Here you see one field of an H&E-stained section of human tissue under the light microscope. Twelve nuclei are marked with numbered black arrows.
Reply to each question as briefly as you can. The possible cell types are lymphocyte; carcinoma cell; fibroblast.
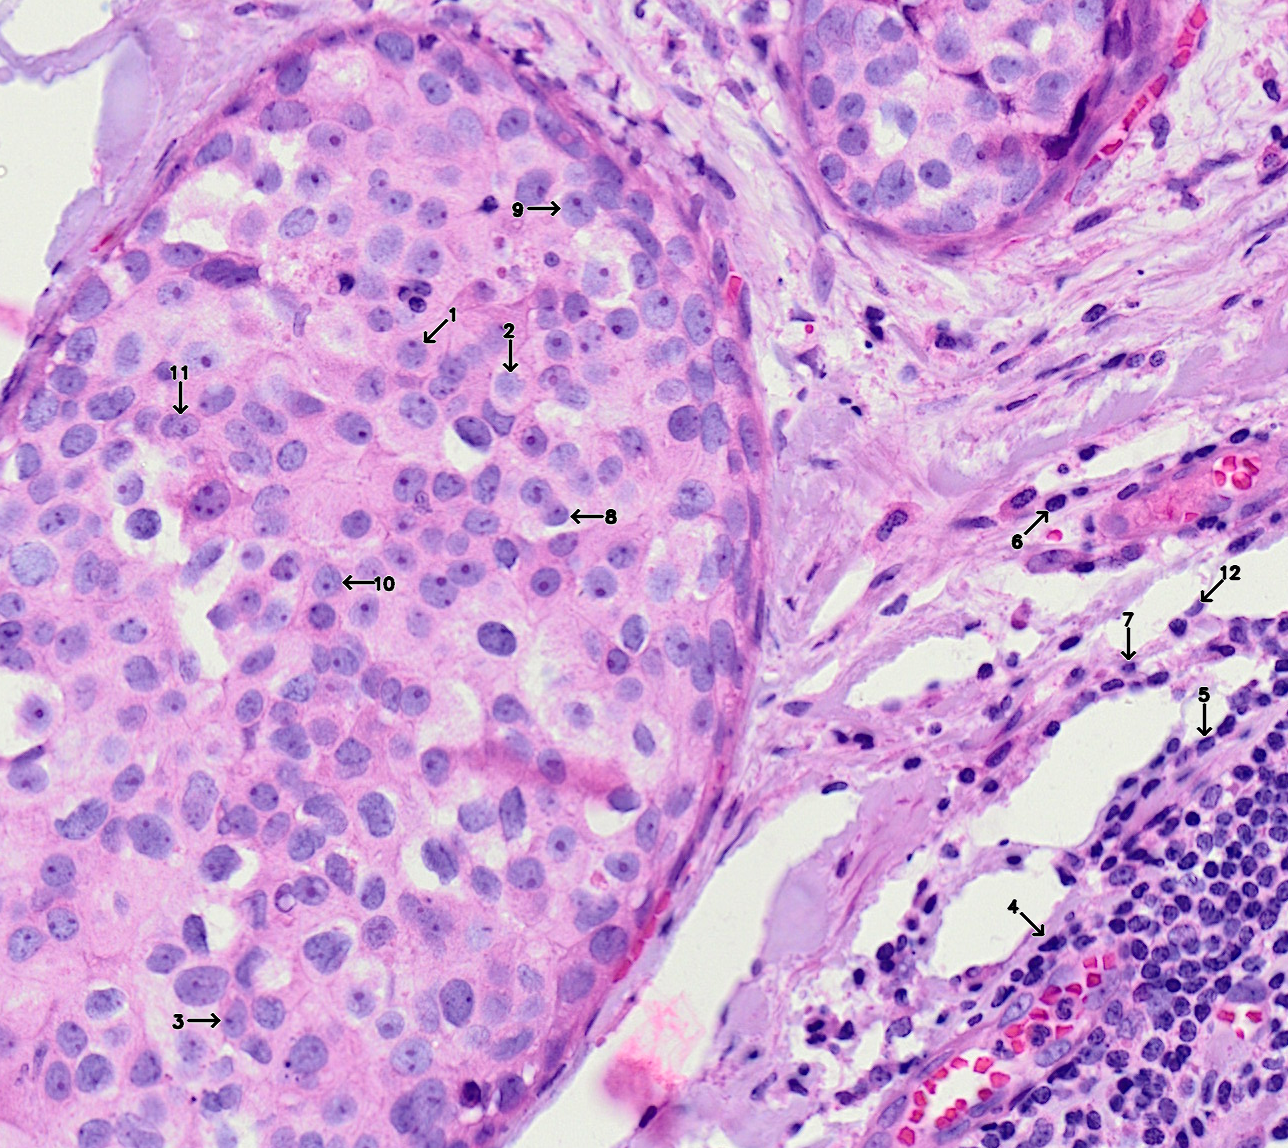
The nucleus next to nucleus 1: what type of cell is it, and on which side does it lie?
a carcinoma cell below nucleus 1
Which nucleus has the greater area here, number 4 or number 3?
3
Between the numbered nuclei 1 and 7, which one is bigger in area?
1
